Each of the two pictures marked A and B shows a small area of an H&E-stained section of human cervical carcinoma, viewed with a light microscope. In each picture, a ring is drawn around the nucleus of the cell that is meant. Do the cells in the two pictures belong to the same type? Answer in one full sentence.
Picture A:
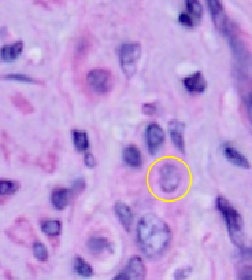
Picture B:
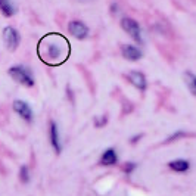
No, the types are not the same, since picture A shows an endothelial cell and picture B a smooth muscle cell.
